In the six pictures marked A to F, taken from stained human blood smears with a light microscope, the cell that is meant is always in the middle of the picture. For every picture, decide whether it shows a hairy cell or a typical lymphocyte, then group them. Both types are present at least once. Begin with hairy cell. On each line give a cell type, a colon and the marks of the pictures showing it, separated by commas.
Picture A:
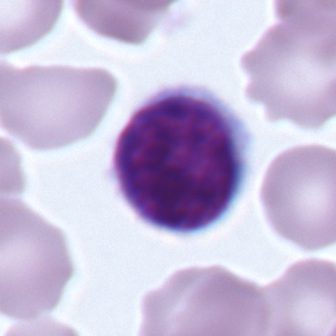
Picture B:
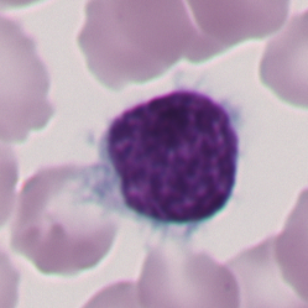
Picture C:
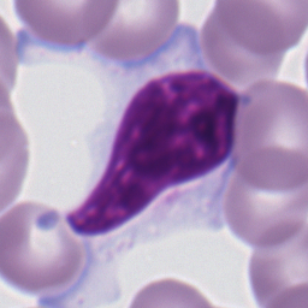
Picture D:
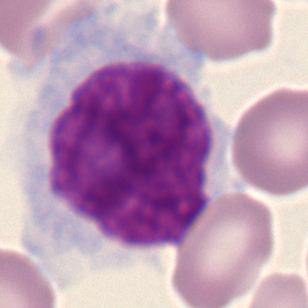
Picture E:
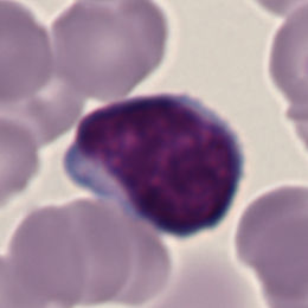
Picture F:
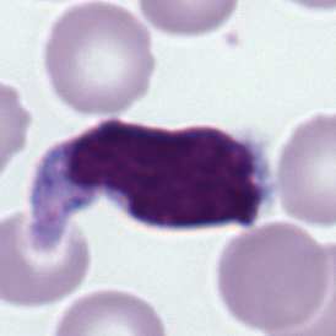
hairy cell: A, B, D
typical lymphocyte: C, E, F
